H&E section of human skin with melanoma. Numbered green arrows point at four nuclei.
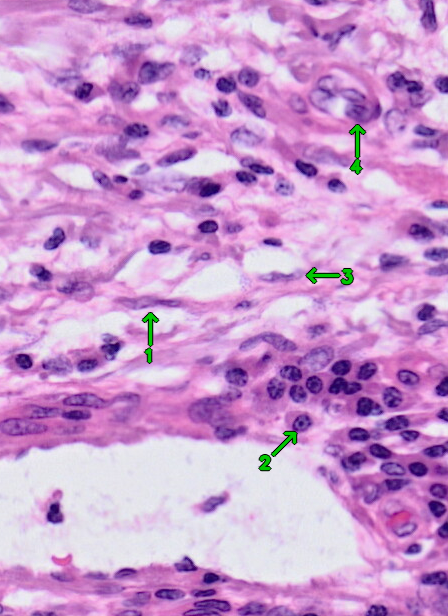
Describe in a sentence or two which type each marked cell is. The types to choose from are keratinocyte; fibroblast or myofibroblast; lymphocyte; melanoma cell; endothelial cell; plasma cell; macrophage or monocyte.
Cell 1 is a fibroblast or myofibroblast, cell 2 is a plasma cell, cell 3 is a fibroblast or myofibroblast and cell 4 is an endothelial cell.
